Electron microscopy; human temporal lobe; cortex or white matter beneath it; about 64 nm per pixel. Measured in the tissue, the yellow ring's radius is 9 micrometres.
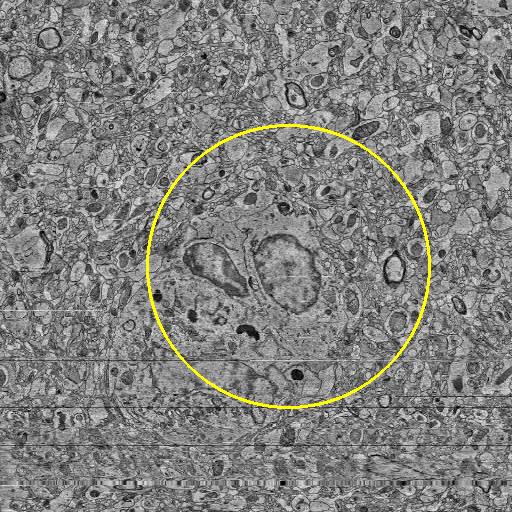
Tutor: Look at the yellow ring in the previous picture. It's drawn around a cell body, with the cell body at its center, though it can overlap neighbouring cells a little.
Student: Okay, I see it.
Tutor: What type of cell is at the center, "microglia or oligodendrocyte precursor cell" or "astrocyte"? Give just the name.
microglia or oligodendrocyte precursor cell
